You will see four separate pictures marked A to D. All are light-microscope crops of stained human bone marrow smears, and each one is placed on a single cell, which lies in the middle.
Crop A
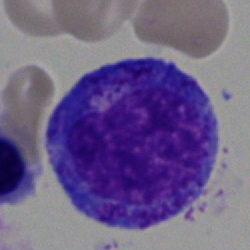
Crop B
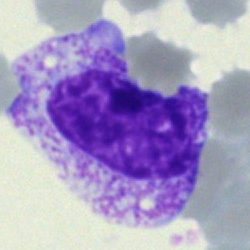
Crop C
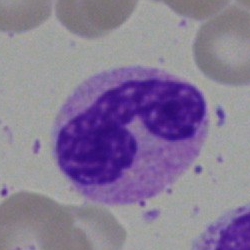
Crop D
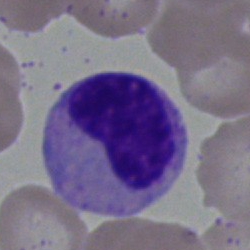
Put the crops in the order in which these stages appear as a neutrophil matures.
A, B, D, C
